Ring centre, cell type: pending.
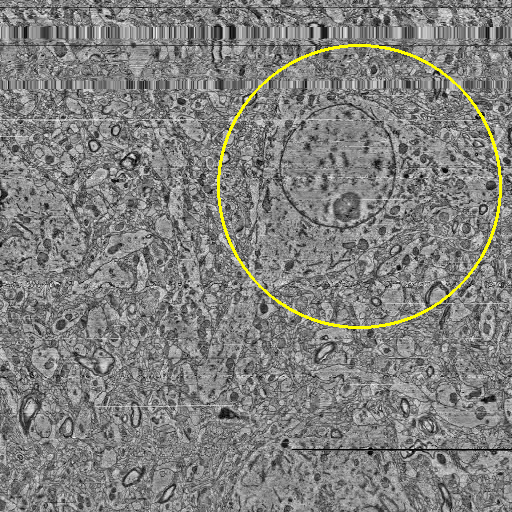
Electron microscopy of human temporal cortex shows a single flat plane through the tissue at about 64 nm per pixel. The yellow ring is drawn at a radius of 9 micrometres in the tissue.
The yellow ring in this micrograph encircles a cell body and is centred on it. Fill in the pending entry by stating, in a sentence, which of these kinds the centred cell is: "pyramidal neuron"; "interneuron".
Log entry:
The centred cell is recorded as a pyramidal neuron.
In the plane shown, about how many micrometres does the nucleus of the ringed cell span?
In this plane the nucleus measures roughly 8 micrometres across.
